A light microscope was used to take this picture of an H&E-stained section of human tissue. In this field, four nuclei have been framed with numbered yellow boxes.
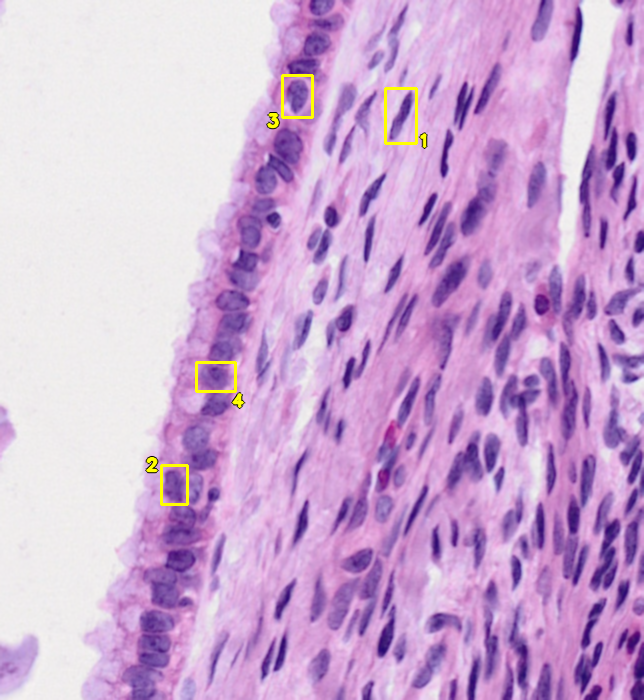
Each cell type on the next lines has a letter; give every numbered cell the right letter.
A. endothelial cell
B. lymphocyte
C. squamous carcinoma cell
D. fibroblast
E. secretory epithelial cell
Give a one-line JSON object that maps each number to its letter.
{"1": "D", "2": "E", "3": "E", "4": "E"}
